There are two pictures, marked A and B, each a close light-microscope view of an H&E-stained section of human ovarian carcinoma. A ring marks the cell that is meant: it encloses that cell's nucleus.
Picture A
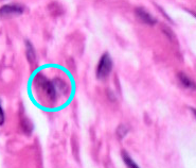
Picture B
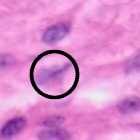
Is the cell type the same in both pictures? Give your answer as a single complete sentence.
Yes; the cells in both pictures are fibroblasts.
